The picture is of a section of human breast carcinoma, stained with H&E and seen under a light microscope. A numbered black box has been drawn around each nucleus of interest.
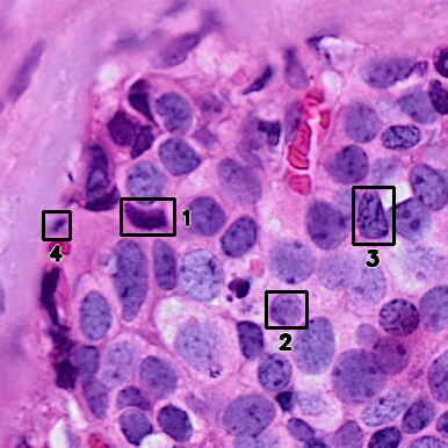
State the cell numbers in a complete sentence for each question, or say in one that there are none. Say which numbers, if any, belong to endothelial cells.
Only one marked cell, number 4, is an endothelial cell.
